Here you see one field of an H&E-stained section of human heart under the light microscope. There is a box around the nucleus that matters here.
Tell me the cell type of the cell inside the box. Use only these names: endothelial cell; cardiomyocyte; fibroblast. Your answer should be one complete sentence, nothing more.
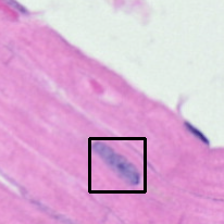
Labelled by cell type, the cell inside the box is a cardiomyocyte.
